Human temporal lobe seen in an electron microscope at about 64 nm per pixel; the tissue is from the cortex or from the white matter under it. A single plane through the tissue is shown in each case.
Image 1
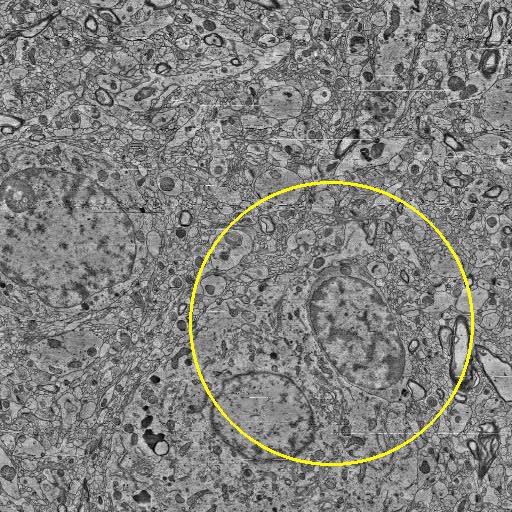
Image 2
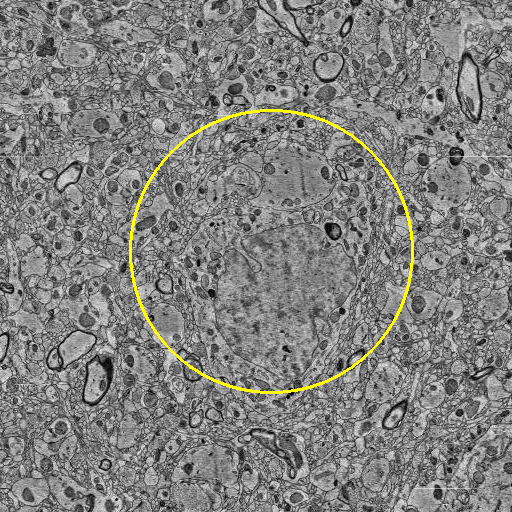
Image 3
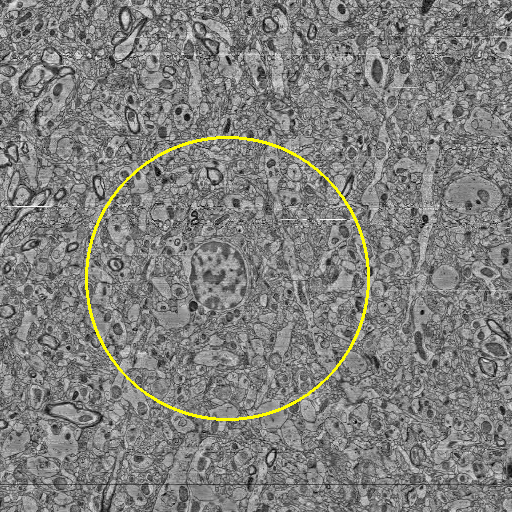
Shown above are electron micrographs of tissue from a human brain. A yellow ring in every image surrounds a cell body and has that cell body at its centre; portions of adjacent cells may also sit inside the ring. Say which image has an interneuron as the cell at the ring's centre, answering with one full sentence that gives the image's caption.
The image whose ring is centred on the requested cell is Image 2.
